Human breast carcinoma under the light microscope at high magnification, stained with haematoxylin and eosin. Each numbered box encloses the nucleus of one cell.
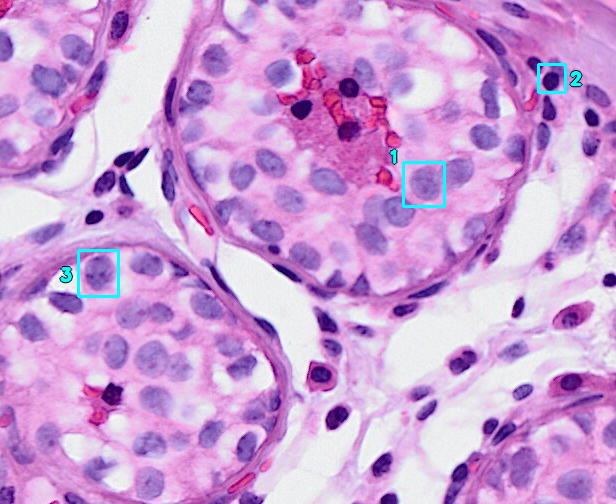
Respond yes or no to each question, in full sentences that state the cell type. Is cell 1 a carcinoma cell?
Yes, it is a carcinoma cell that carries the number 1.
